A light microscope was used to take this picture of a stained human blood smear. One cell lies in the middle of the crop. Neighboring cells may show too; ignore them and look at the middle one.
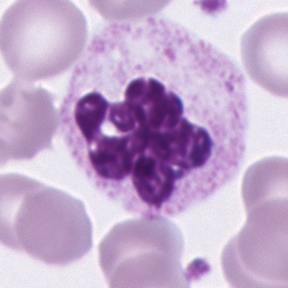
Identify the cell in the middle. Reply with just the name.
segmented neutrophil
